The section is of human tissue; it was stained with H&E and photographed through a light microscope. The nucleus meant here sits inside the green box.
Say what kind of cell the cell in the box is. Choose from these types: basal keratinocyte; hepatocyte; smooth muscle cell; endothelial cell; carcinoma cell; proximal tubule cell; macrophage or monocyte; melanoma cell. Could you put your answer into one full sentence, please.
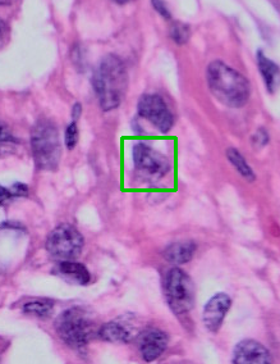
It is as a melanoma cell that the cell in the box is classified.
